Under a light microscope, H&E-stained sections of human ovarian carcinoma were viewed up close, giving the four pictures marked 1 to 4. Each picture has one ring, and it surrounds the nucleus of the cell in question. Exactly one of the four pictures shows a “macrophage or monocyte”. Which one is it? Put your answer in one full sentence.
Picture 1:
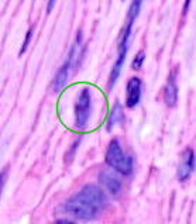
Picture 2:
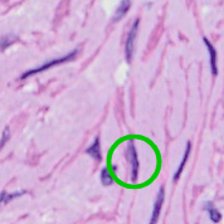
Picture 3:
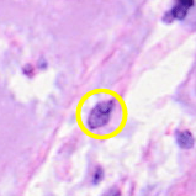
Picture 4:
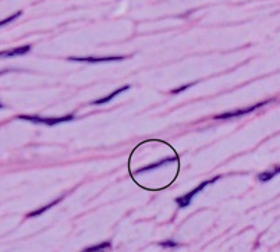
The cell in picture 3 is the “macrophage or monocyte”.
